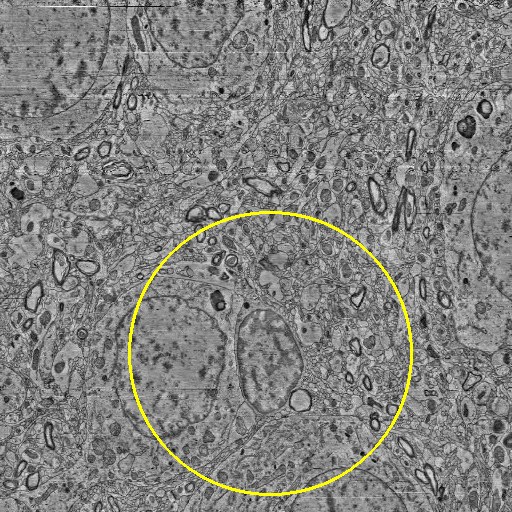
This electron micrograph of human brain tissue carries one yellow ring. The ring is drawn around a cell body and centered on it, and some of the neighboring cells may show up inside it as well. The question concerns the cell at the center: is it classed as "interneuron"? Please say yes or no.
No, it is classed as another kind.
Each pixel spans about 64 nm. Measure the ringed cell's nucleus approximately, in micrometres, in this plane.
Approximately 7 by 4 micrometers in this plane.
